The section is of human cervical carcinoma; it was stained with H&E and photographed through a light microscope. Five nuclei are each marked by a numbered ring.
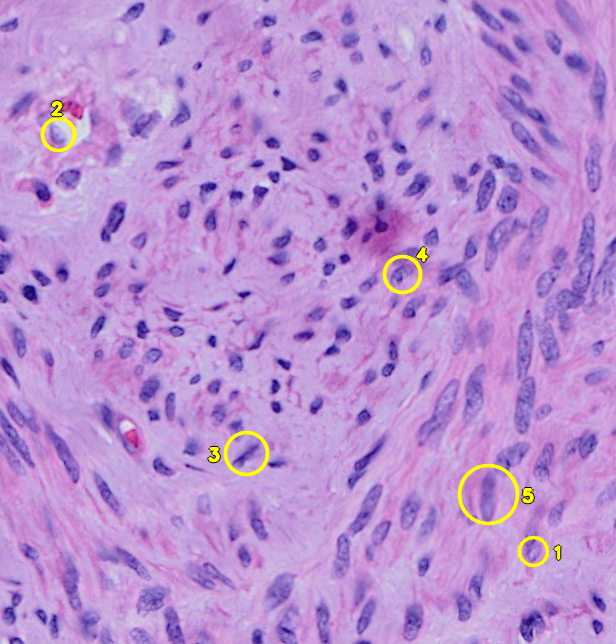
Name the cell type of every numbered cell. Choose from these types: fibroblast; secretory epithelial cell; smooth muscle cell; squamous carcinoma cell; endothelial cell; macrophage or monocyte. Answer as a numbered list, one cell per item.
1. smooth muscle cell
2. endothelial cell
3. fibroblast
4. smooth muscle cell
5. smooth muscle cell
